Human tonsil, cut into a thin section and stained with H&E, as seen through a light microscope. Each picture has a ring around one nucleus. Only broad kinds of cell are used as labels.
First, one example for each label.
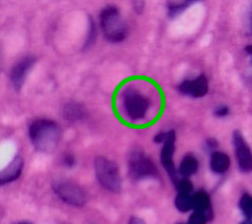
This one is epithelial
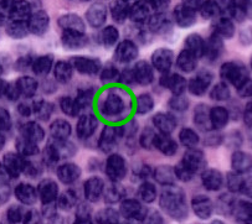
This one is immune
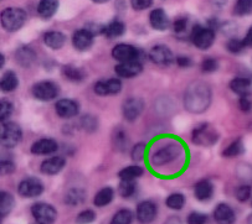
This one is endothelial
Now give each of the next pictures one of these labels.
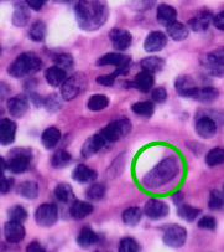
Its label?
endothelial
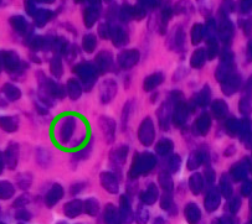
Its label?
endothelial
